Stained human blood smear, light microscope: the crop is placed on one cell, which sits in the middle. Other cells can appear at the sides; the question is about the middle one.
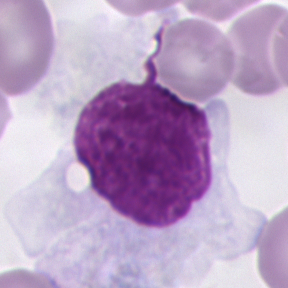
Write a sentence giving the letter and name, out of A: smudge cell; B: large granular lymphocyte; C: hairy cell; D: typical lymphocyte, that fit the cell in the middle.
As the central cell is a hairy cell, option C is correct.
